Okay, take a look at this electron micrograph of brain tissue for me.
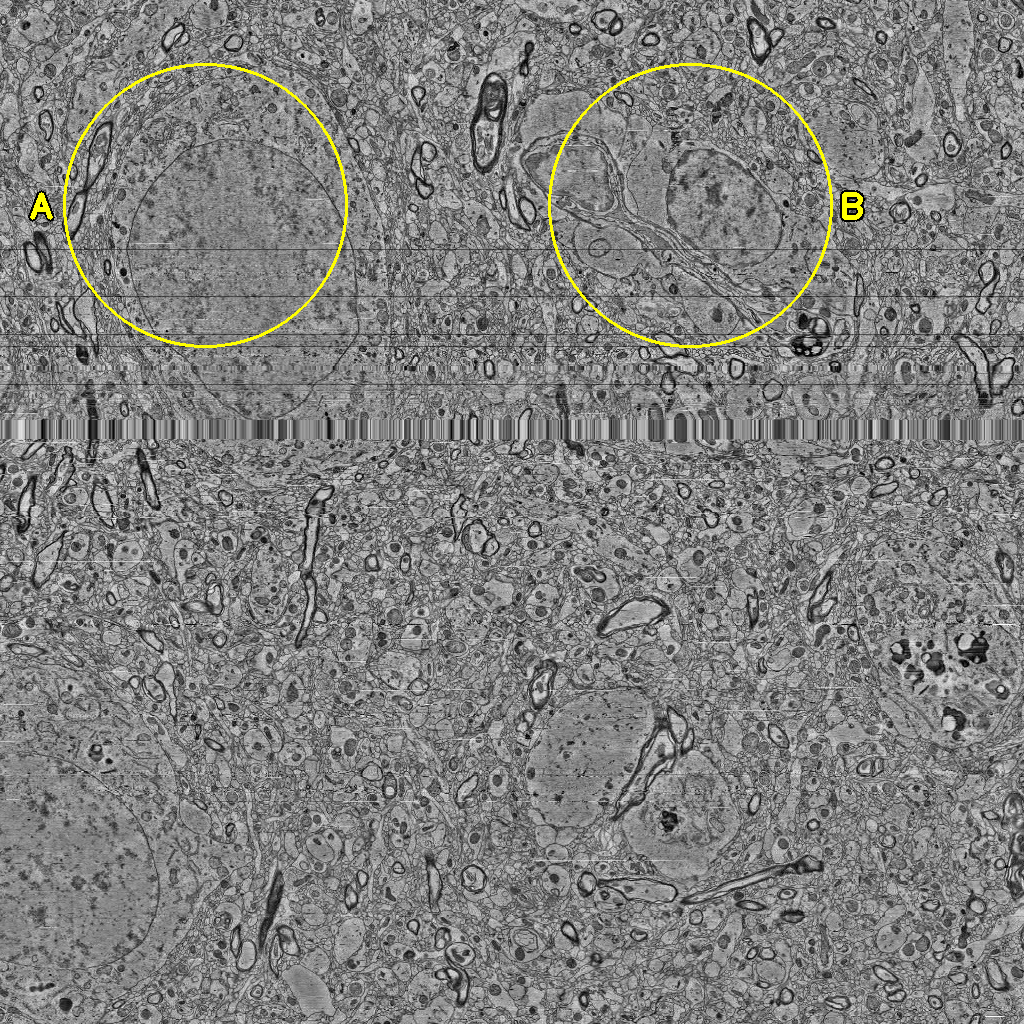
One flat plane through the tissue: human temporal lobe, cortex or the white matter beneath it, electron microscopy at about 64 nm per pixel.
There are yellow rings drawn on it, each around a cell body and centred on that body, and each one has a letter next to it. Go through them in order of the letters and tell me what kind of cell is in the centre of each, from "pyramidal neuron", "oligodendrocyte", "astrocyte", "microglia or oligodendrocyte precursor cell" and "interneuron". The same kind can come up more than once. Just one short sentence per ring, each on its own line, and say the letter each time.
In the centre of ring A there's a pyramidal neuron.
In the centre of ring B there's a microglial cell or oligodendrocyte precursor cell.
